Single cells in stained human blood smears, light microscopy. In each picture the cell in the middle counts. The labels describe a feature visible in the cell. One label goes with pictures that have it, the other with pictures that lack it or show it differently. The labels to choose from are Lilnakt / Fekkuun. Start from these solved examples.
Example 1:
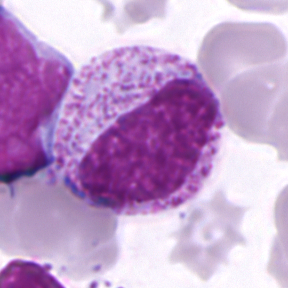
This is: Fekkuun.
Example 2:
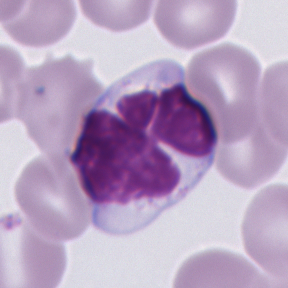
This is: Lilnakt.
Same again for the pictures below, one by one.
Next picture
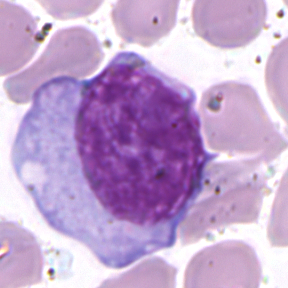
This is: Fekkuun.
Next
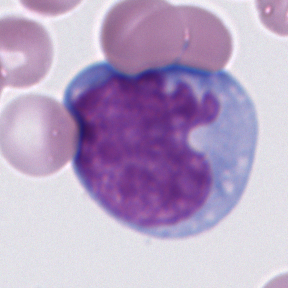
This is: Fekkuun.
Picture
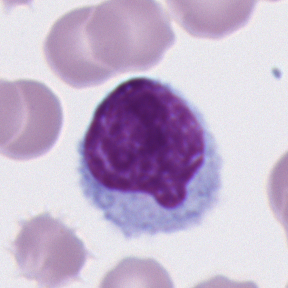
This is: Fekkuun.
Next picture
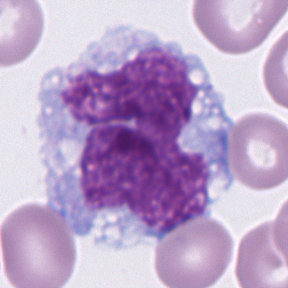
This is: Fekkuun.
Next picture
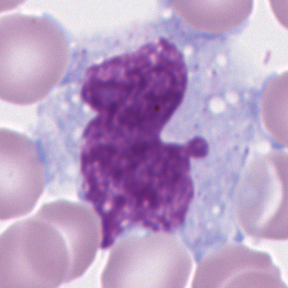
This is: Fekkuun.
